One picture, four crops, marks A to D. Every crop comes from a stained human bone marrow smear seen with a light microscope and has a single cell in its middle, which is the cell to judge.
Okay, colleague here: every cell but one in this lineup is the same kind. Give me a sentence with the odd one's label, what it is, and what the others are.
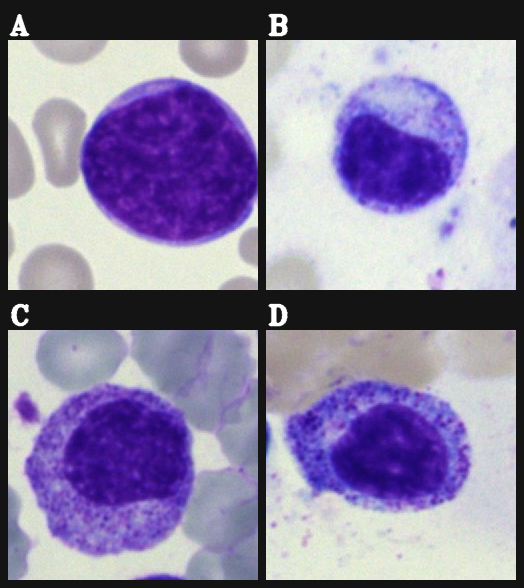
The outlier here is crop A, which is a blast, while the remainder show myelocytes.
